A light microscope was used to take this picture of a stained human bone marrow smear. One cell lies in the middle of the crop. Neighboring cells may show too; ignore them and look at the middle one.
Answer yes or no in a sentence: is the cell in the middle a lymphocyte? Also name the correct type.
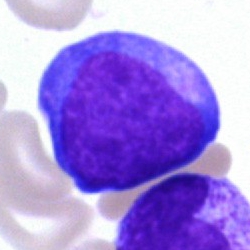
No, it is not a lymphocyte that sits at the centre but a blast.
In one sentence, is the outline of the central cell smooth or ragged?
From every side, the cell boundary is smooth and free of projections.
